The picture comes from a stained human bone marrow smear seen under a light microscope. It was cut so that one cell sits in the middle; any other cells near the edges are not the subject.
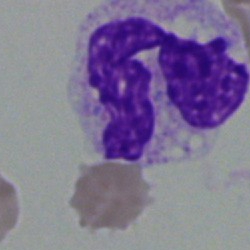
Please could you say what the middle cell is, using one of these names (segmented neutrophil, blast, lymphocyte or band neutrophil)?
segmented neutrophil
